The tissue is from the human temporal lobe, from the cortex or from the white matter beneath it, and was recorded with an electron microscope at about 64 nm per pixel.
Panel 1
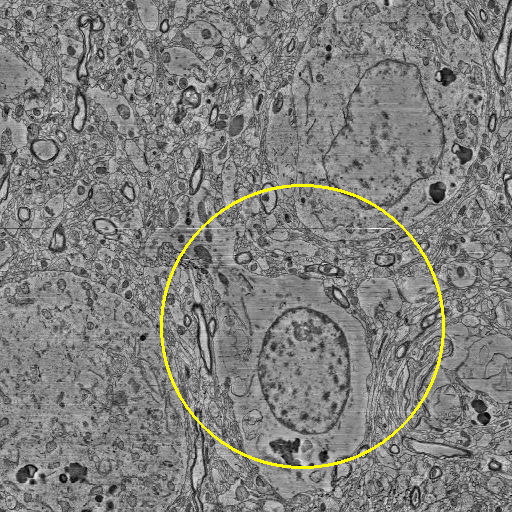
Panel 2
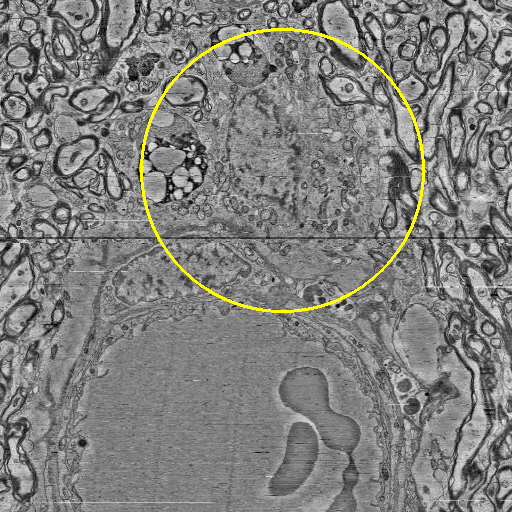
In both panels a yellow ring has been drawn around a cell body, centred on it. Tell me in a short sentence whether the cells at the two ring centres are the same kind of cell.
Yes, they are the same kind of cell.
